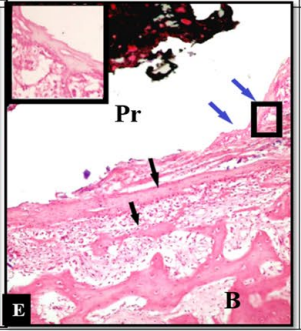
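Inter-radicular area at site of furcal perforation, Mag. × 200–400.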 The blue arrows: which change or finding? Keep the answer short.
cementum deposition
